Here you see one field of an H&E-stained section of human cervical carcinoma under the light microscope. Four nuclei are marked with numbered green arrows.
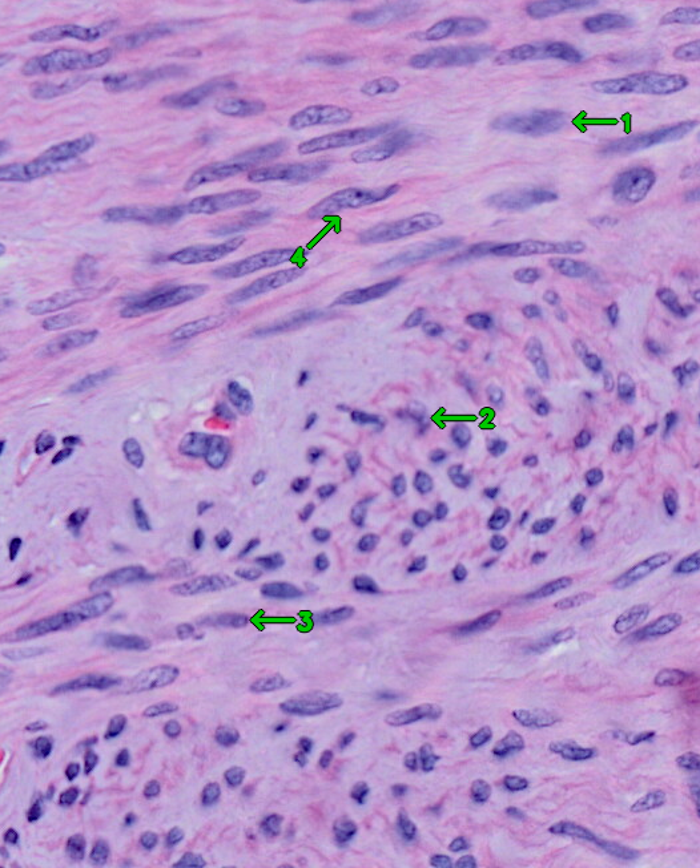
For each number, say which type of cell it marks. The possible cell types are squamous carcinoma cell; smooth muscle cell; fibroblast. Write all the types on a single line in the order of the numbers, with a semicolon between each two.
fibroblast; smooth muscle cell; smooth muscle cell; smooth muscle cell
